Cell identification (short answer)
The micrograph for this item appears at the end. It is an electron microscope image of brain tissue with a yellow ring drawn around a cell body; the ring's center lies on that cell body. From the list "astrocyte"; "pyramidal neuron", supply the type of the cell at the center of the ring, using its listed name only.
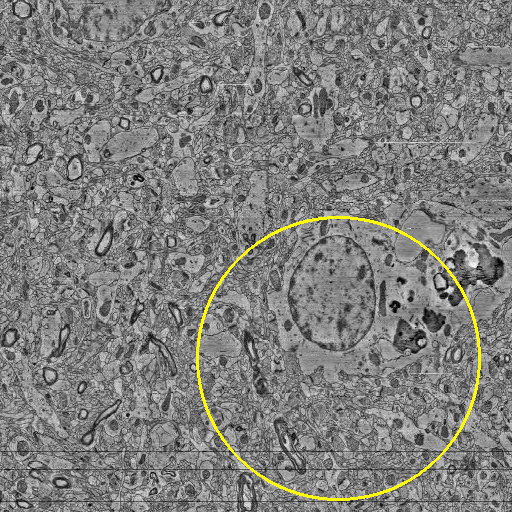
astrocyte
